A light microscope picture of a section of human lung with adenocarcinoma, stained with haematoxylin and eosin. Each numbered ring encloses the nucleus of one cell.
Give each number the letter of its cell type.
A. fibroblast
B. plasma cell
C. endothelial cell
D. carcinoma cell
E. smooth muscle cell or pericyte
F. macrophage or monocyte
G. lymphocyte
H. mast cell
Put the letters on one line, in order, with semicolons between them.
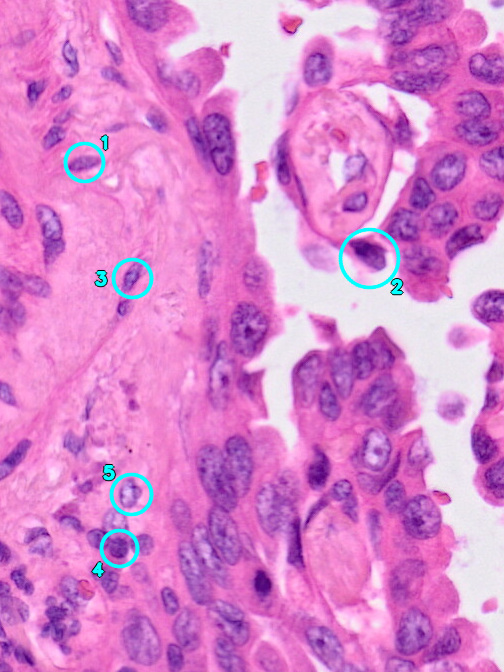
E; D; E; B; A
